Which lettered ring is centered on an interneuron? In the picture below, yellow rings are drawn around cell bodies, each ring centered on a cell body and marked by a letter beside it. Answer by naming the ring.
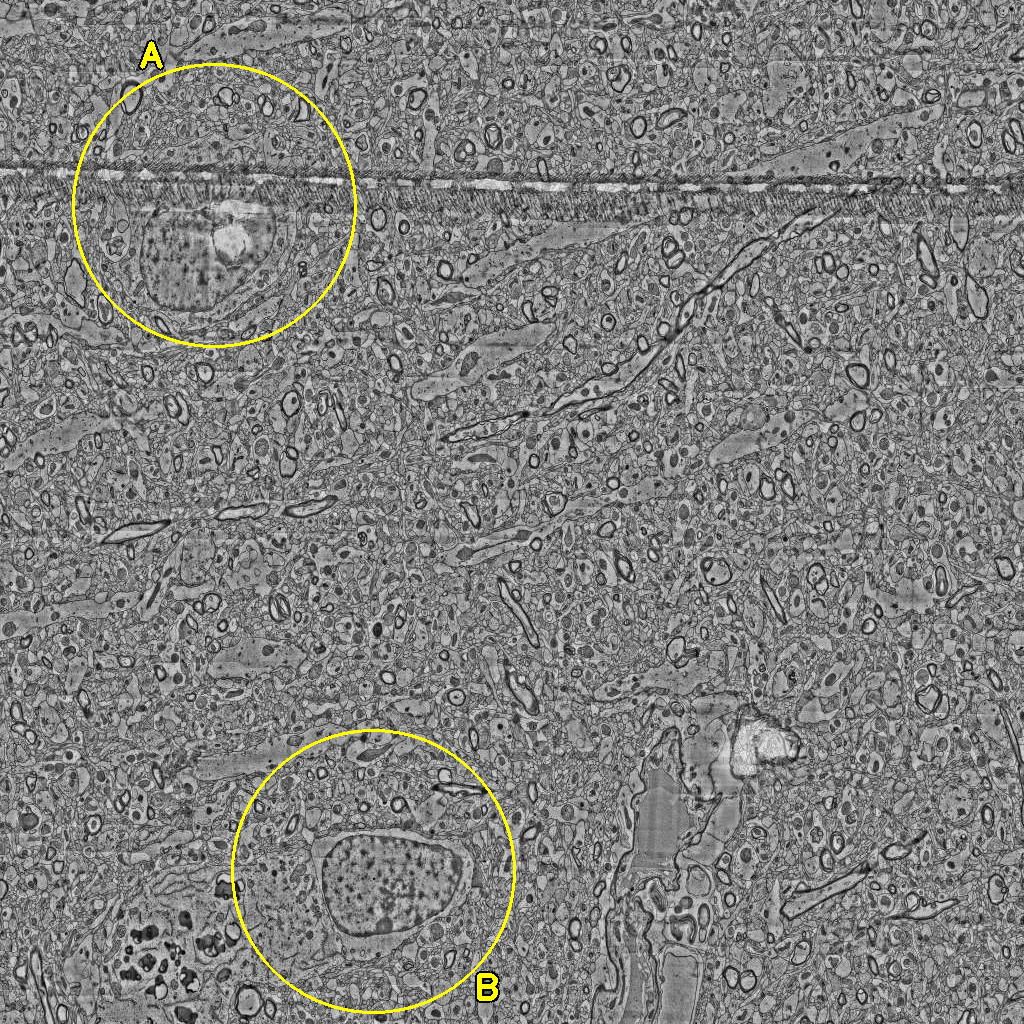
Ring A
